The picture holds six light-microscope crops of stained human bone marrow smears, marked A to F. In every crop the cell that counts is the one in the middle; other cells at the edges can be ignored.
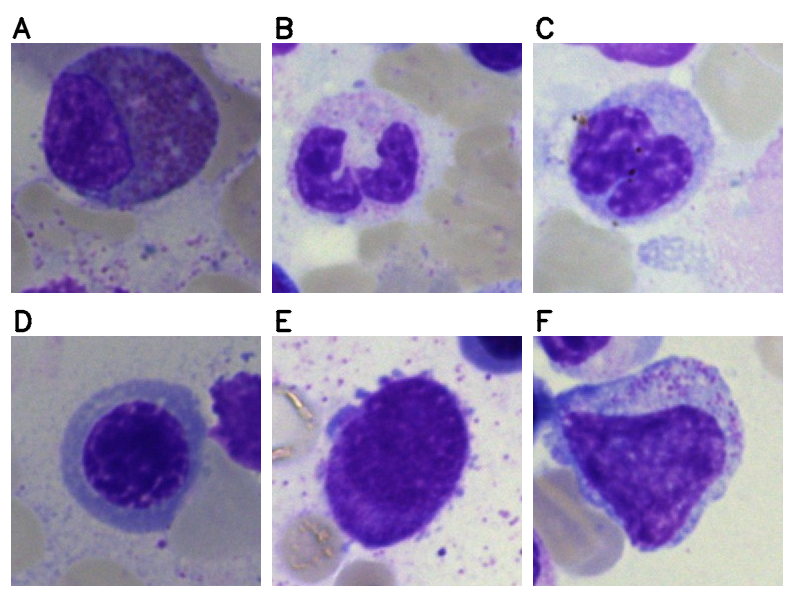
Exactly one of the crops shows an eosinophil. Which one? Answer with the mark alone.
A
